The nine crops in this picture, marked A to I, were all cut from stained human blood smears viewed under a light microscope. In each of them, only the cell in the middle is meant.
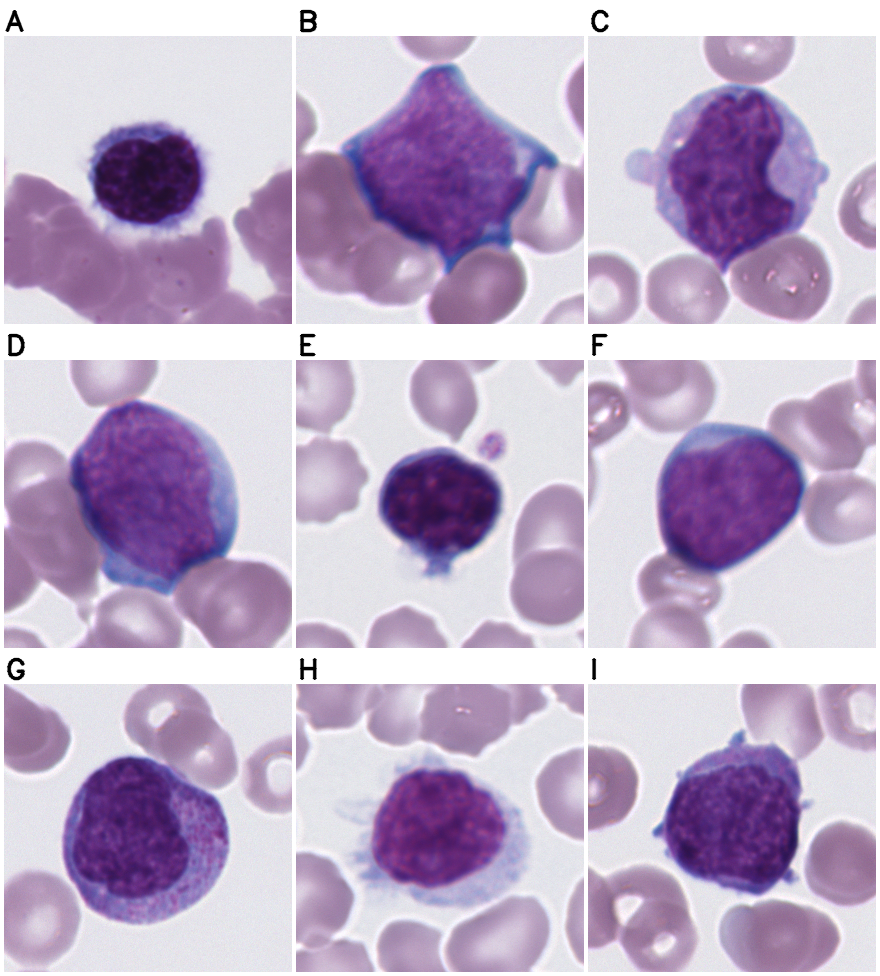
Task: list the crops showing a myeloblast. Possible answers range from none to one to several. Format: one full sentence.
Crops B, D and F present myeloblasts as their central cells.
